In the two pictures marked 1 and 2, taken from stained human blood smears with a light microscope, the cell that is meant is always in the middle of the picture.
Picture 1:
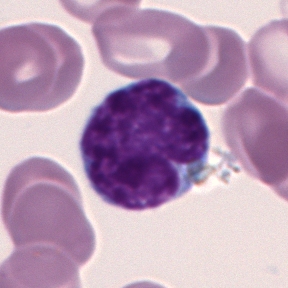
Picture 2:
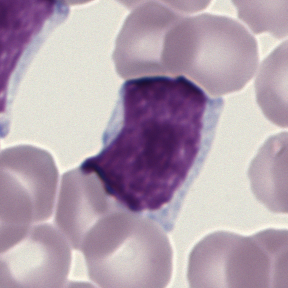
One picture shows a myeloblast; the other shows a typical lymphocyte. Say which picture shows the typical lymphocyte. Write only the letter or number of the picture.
2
